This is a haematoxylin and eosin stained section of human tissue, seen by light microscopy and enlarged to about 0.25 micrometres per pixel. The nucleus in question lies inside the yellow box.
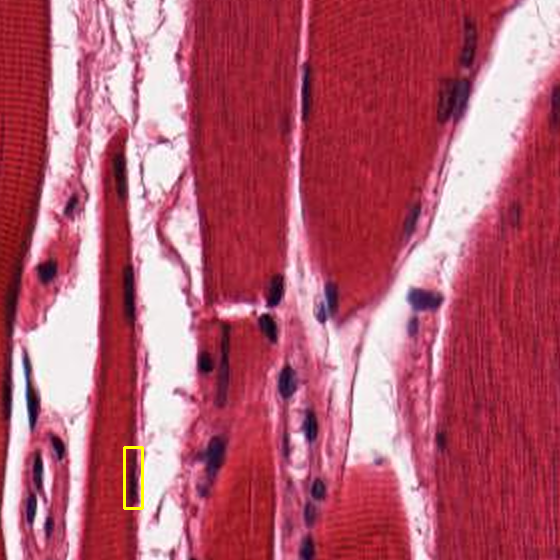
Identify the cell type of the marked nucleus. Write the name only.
skeletal muscle fibre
